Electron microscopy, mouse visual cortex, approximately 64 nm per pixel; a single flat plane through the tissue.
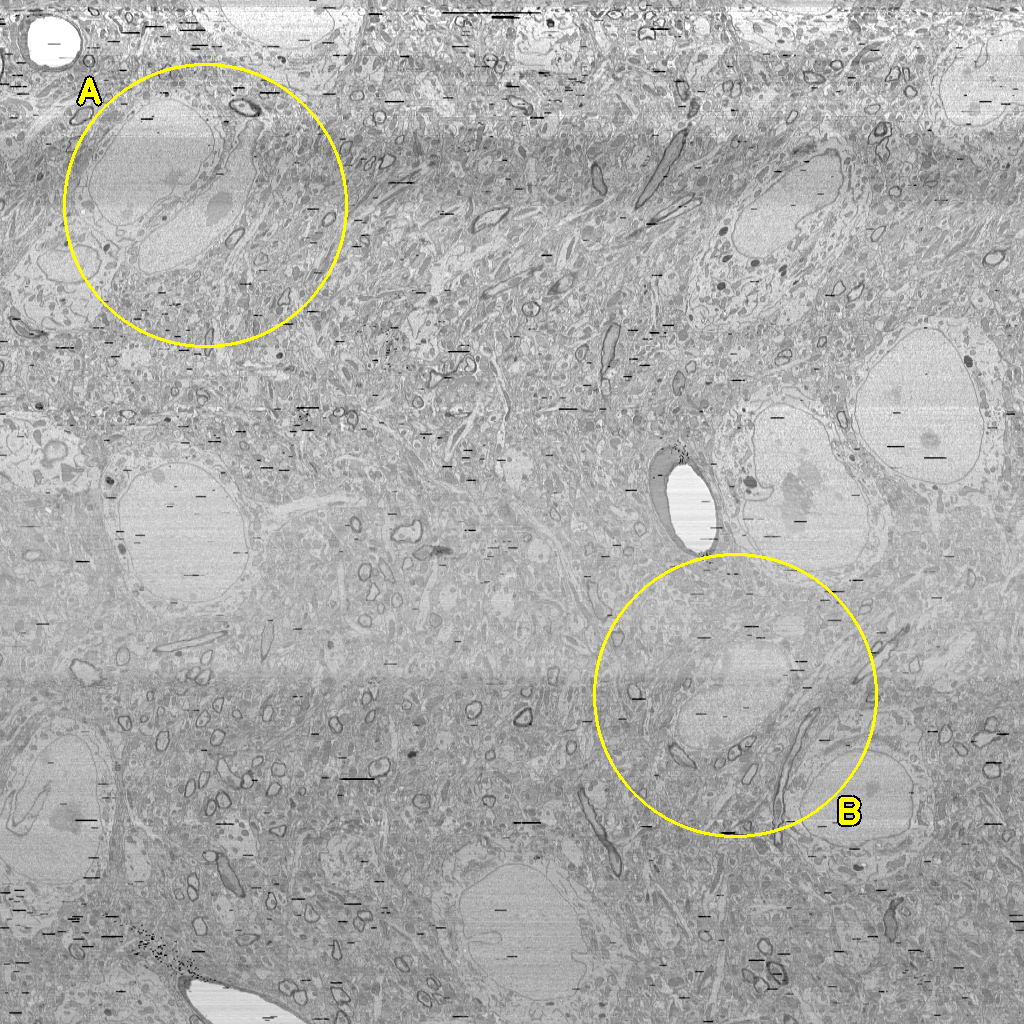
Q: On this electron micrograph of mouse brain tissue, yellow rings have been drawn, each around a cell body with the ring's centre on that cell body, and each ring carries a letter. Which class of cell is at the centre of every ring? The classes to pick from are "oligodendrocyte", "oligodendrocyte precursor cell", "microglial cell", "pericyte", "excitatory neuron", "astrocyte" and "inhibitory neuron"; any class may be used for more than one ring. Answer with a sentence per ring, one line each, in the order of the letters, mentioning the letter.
The centre of ring A is occupied by an oligodendrocyte precursor cell.
The centre of ring B is occupied by an astrocyte.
